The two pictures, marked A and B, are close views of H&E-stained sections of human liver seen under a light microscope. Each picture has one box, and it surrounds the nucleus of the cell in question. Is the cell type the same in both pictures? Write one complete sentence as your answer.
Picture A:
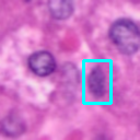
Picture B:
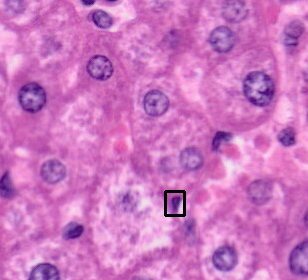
Yes; the cells in both pictures are “fibroblasts or stellate cells”.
